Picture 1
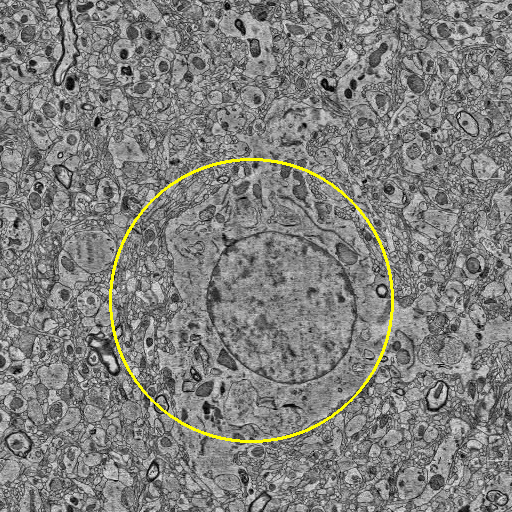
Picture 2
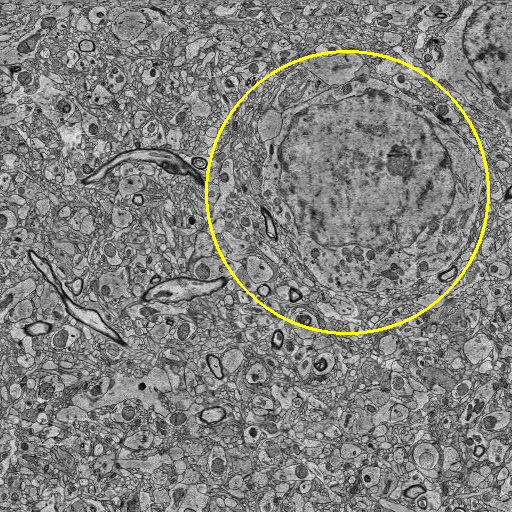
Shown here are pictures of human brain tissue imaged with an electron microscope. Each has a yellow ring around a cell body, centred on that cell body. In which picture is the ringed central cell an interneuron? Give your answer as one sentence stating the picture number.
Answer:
My answer is picture 2, where the ringed cell at the centre is the one sought.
